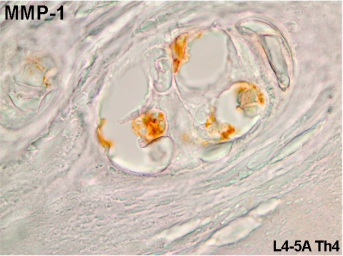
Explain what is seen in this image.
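This shows a cluster of chondrocytes of the disc enclosed in a common capsule within fibrous matrix. Several rounded cells lie in clear lacunae of varied size, packed together in the cluster. Brown granular stain is found in the cells of the group, often at the edge of their lacunae. A smaller lacuna with a cell lies beside the cluster at the left, and the matrix around shows faint streaked fibres.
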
